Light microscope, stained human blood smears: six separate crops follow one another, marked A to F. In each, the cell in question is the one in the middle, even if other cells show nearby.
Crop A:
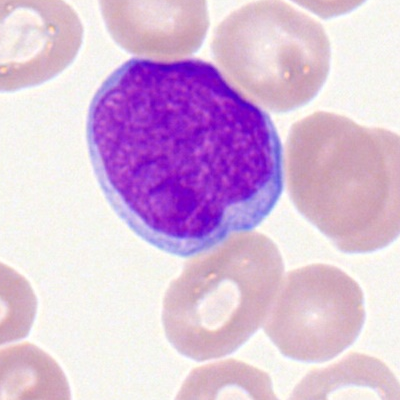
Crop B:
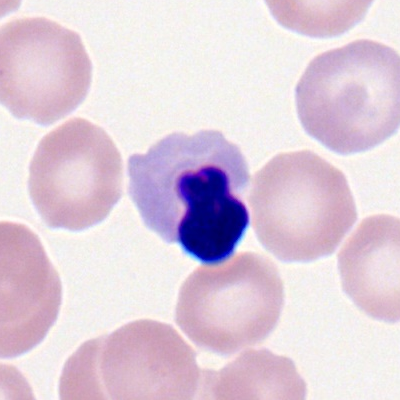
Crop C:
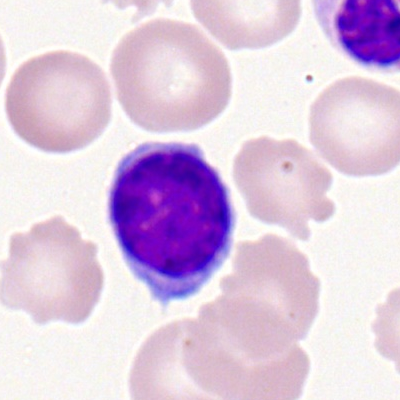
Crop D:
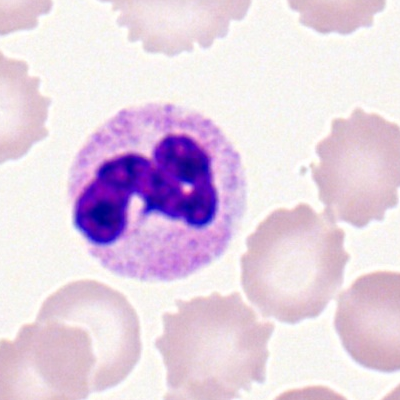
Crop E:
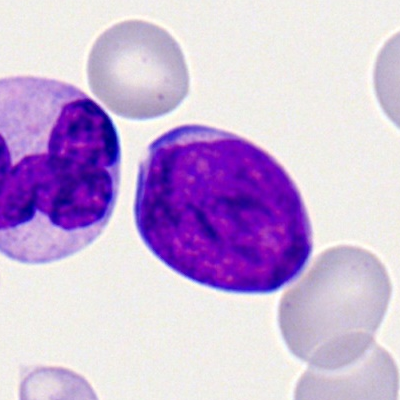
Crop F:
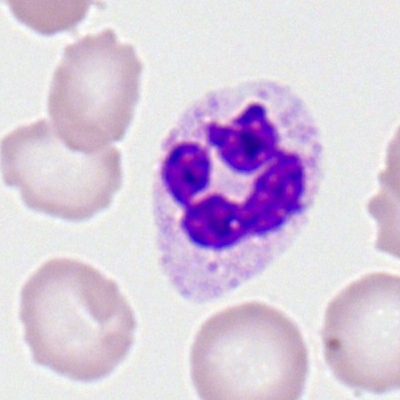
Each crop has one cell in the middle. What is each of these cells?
A: myeloblast
B: erythroblast
C: lymphocyte
D: segmented neutrophil
E: myeloblast
F: segmented neutrophil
